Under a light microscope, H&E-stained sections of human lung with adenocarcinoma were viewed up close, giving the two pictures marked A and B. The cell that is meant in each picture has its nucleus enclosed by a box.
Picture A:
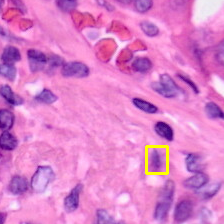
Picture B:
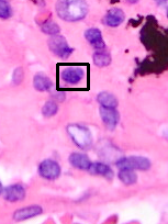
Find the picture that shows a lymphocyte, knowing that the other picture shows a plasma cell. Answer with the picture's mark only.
B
